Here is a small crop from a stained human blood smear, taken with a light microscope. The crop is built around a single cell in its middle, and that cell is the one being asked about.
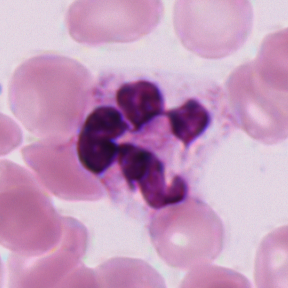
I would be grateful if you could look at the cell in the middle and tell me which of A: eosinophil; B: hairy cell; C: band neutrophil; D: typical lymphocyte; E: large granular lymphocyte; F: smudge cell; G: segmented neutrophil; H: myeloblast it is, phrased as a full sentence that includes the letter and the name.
Located in the middle of the crop is a segmented neutrophil, and option G is therefore correct.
